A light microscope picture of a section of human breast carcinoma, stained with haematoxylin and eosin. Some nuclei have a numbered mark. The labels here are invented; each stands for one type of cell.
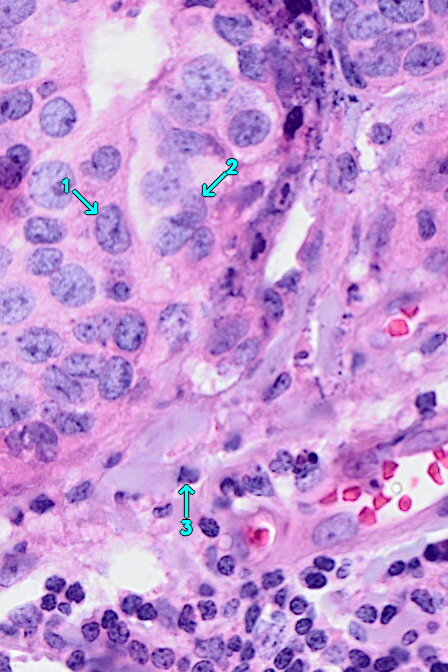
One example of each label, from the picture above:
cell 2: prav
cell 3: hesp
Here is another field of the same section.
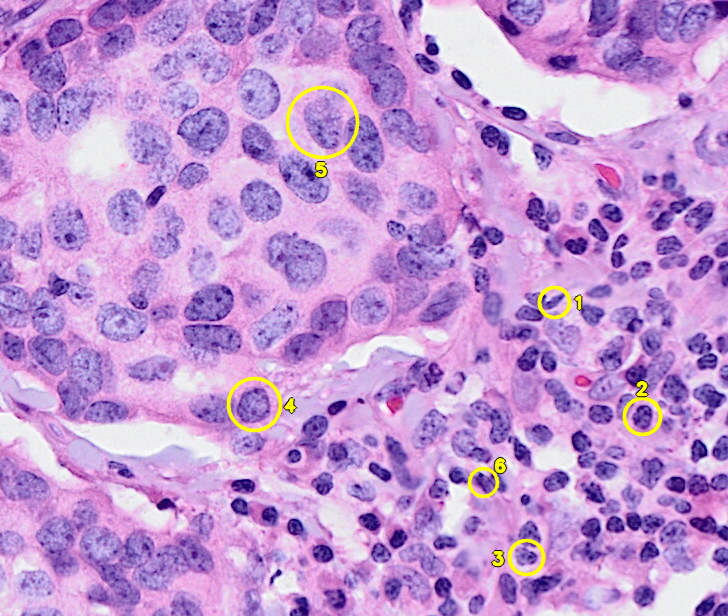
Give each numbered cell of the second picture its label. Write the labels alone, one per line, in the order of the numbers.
hesp
hesp
hesp
prav
prav
hesp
